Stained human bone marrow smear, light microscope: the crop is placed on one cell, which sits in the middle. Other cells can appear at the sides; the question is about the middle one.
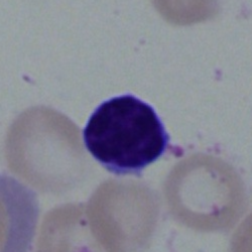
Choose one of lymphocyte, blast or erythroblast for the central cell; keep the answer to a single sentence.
In this crop, the cell at the very middle is a lymphocyte.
